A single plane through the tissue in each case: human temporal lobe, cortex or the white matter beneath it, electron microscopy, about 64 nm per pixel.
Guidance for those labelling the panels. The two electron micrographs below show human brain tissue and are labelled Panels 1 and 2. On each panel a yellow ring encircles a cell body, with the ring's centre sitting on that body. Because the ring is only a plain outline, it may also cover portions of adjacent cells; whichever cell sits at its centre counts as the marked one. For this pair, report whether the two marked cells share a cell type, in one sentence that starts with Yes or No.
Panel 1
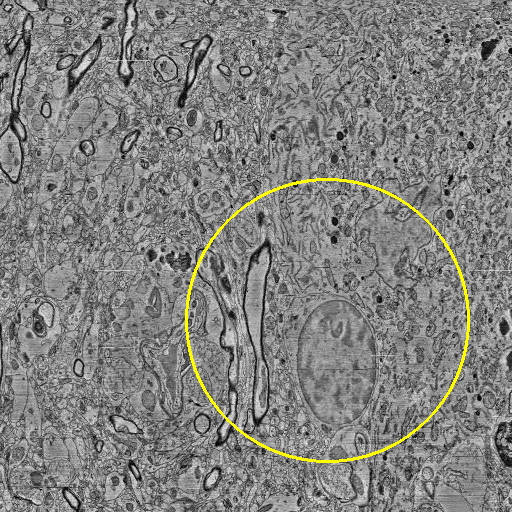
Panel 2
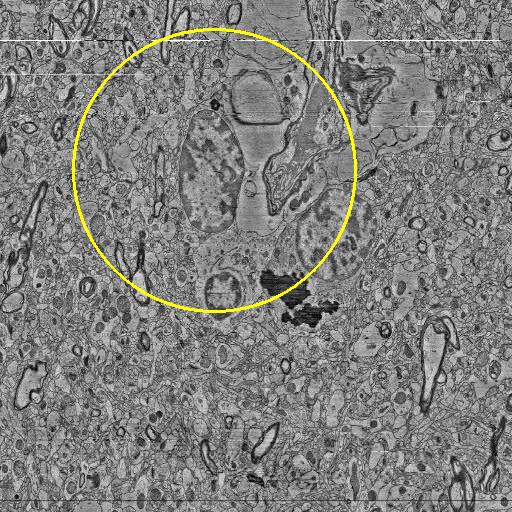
No, in Panel 1 and Panel 2 the marked cells at the ring centres are of two types.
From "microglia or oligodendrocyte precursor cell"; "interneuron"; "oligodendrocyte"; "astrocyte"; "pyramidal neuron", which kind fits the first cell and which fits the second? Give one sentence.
The cell marked in the first picture is an oligodendrocyte, and the one marked in the second is a microglial cell or oligodendrocyte precursor cell.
